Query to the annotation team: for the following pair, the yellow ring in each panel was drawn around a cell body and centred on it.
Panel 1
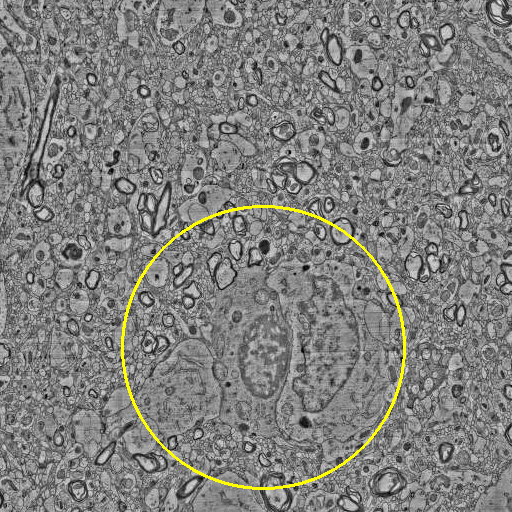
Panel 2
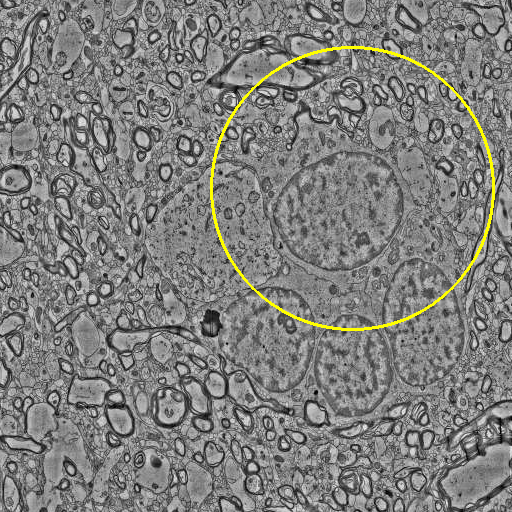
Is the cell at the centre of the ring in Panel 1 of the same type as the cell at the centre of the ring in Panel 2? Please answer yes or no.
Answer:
yes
